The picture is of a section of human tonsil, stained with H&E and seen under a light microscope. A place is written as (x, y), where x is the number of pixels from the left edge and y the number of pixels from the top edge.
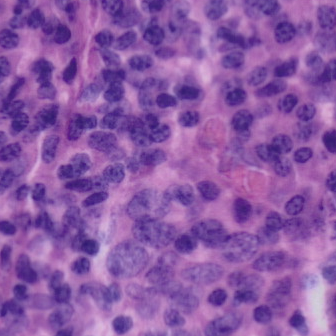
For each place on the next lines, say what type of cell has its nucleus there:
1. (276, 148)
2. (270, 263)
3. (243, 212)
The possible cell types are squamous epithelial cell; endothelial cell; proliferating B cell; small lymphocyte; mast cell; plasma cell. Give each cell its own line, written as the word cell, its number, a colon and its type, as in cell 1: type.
cell 1: plasma cell
cell 2: squamous epithelial cell
cell 3: squamous epithelial cell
